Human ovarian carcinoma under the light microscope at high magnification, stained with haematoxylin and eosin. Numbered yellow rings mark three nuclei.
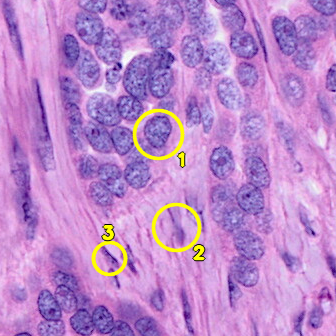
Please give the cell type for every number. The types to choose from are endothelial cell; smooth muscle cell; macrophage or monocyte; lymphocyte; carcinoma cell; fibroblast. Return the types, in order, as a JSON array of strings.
["carcinoma cell", "fibroblast", "fibroblast"]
